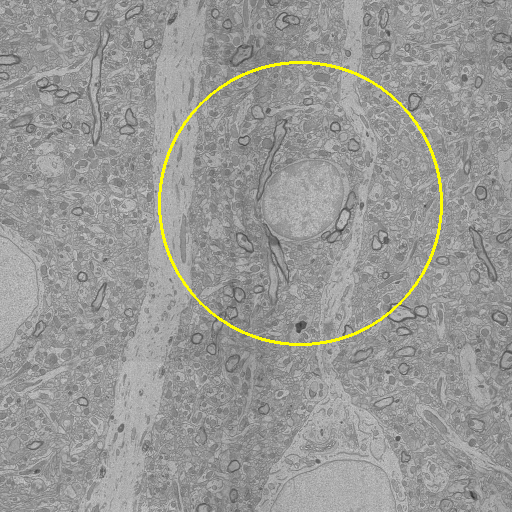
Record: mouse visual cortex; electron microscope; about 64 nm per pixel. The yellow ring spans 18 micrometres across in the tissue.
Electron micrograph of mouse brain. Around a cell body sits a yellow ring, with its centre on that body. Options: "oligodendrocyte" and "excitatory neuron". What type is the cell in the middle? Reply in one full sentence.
The cell sitting at the centre of the yellow ring is an oligodendrocyte.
